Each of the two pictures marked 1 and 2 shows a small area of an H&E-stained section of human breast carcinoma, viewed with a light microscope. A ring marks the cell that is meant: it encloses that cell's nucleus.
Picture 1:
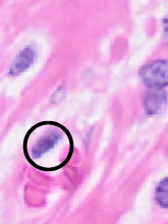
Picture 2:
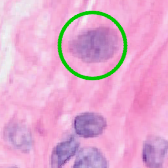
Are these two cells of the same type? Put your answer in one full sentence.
No. Picture 1 shows an endothelial cell, but picture 2 shows a fibroblast.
